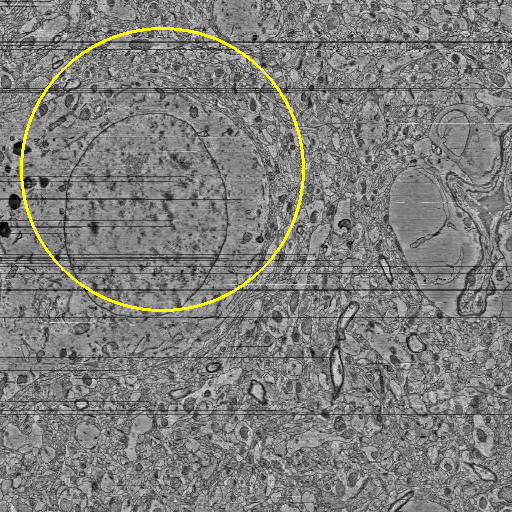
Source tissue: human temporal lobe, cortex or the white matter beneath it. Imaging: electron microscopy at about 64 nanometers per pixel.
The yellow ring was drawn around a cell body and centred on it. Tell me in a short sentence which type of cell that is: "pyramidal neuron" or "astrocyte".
The cell at the ring's centre is a pyramidal neuron.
